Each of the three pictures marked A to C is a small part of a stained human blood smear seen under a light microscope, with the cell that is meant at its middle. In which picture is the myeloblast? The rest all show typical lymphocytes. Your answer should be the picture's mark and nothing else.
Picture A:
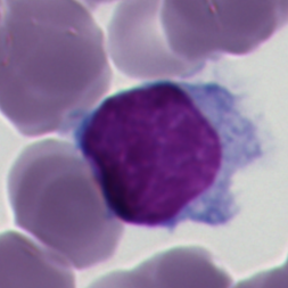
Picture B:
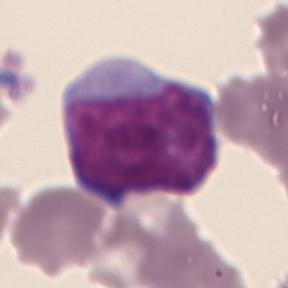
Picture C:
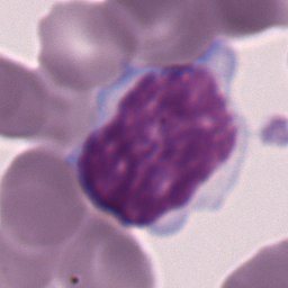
B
